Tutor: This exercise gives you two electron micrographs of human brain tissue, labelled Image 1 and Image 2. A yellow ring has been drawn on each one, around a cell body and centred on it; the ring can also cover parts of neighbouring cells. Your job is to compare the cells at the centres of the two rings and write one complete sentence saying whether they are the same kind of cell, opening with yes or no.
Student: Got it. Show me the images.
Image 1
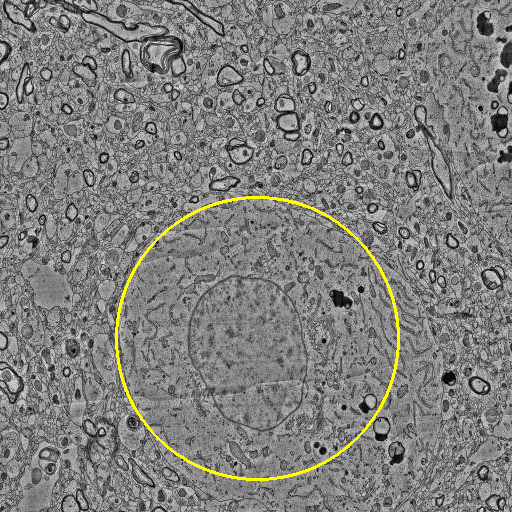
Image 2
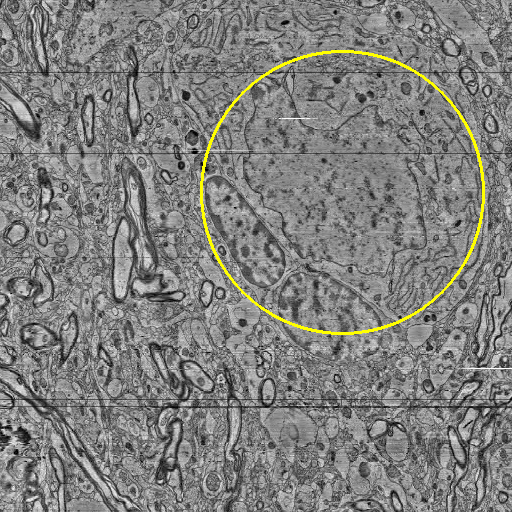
No, the two cells belong to two kinds.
